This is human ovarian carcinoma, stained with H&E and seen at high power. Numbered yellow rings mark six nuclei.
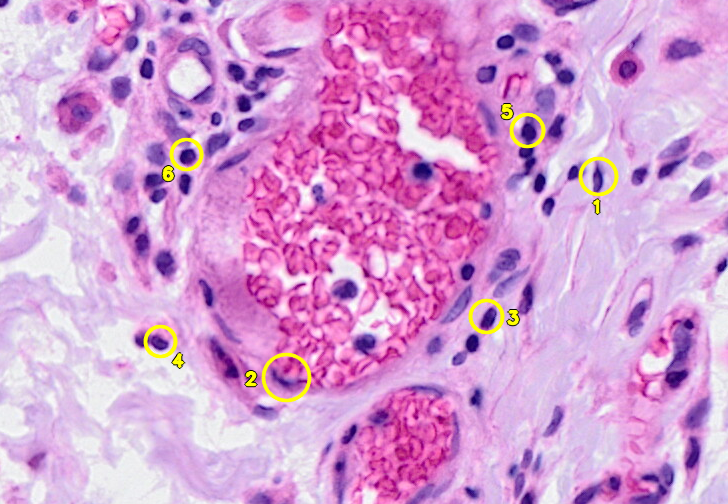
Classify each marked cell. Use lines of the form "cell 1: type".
cell 1: fibroblast
cell 2: endothelial cell
cell 3: lymphocyte
cell 4: lymphocyte
cell 5: lymphocyte
cell 6: lymphocyte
